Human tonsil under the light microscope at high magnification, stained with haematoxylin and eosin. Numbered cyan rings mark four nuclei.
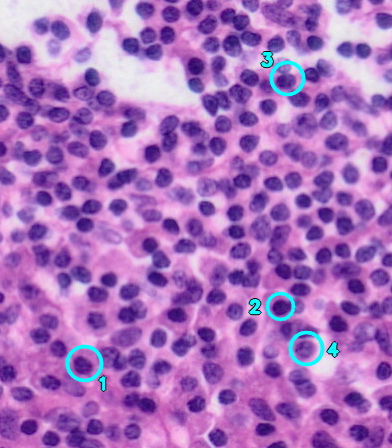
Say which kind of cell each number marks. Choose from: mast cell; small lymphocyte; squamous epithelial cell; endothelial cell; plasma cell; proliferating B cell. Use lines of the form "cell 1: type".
cell 1: plasma cell
cell 2: plasma cell
cell 3: small lymphocyte
cell 4: plasma cell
